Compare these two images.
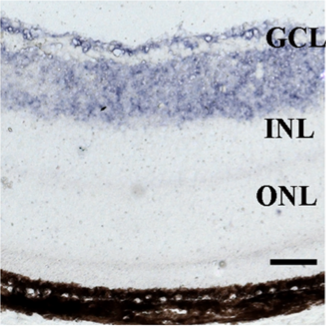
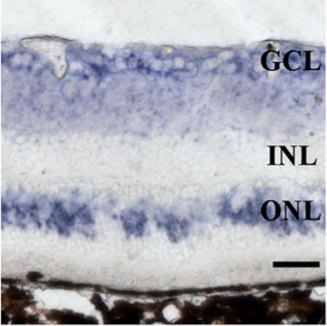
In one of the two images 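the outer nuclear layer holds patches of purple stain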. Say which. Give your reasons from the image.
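The second image. First image: the layer just above the pigmented layer is pale, with no purple stain. Second image: the layer just above the pigmented layer has distinct dark purple patches.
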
